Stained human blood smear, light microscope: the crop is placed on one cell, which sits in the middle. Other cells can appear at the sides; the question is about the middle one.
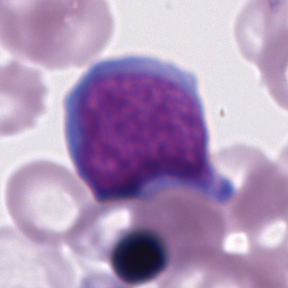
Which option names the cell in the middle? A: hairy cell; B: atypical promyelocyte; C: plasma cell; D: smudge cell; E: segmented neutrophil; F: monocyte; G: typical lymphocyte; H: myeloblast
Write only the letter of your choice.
H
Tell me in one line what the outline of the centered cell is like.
In outline, the cell is irregular, ragged in stretches or drawn into projections.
